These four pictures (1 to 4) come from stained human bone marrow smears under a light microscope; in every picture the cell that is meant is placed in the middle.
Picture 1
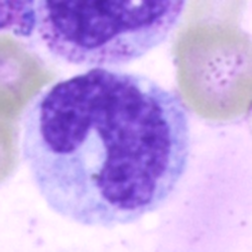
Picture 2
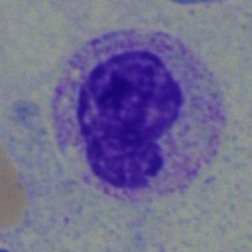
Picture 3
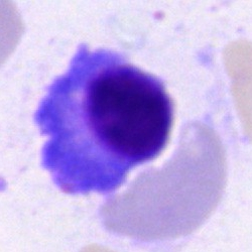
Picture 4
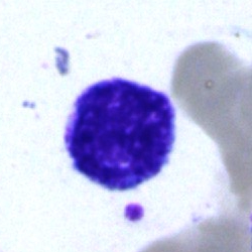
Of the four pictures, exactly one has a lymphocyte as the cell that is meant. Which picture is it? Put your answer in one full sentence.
The lymphocyte is the one in picture 4.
